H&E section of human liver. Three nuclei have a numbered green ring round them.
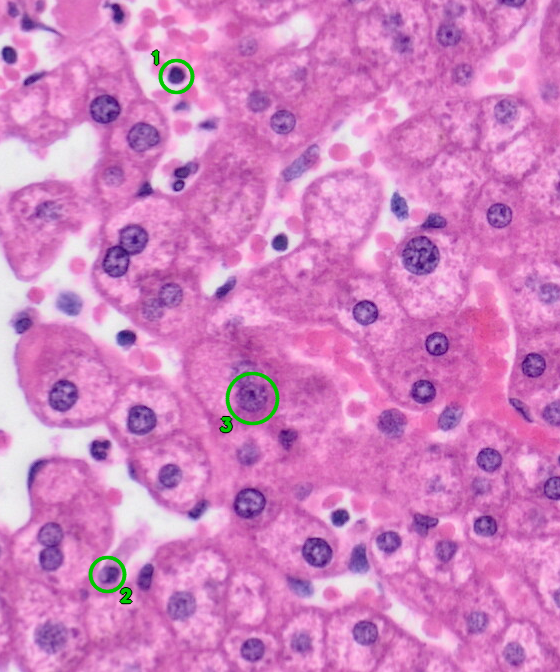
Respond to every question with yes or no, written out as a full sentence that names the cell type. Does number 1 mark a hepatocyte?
No, calling cell 1 a hepatocyte is incorrect; it is a lymphocyte.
